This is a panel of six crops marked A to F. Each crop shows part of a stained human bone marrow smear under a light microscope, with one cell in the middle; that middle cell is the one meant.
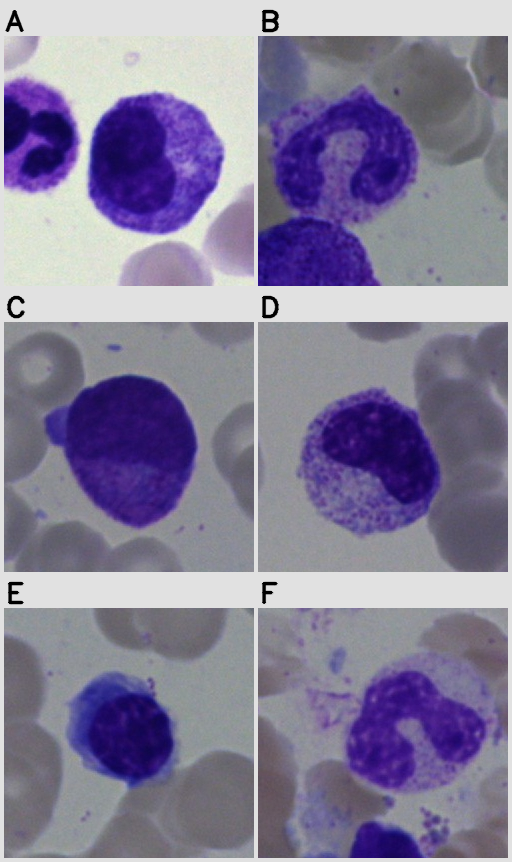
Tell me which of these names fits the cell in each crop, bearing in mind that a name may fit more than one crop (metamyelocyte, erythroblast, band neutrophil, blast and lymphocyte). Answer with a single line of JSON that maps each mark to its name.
{"A": "metamyelocyte", "B": "band neutrophil", "C": "blast", "D": "metamyelocyte", "E": "erythroblast", "F": "band neutrophil"}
